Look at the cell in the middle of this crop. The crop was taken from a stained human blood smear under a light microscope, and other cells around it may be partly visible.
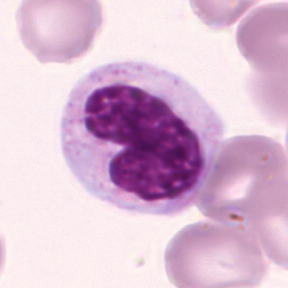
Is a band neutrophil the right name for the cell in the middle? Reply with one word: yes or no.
yes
